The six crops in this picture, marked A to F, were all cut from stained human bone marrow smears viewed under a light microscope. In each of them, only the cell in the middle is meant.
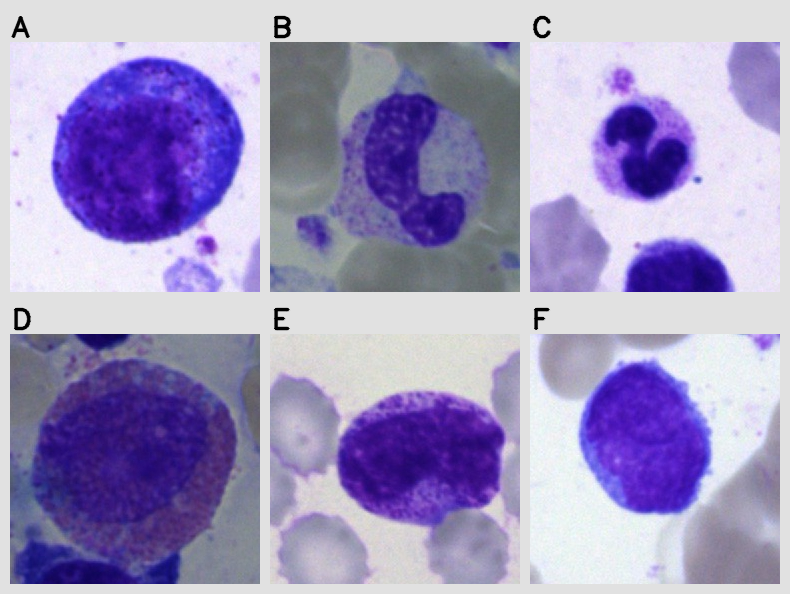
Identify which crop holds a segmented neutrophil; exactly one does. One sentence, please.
Of the crops given, a segmented neutrophil is found in crop C.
